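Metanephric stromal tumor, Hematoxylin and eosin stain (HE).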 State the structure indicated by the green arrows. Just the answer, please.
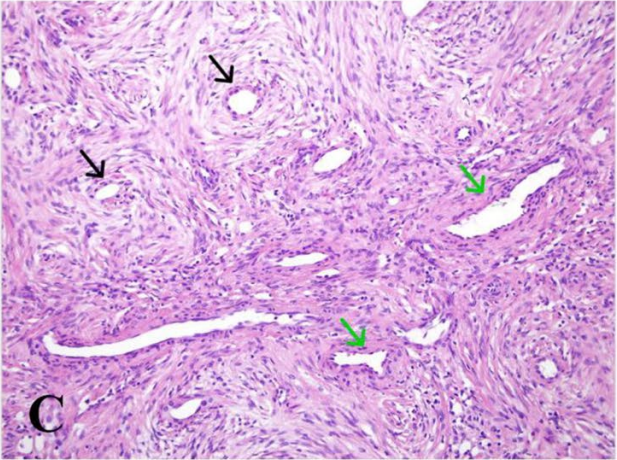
Dysplastic small vessels.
